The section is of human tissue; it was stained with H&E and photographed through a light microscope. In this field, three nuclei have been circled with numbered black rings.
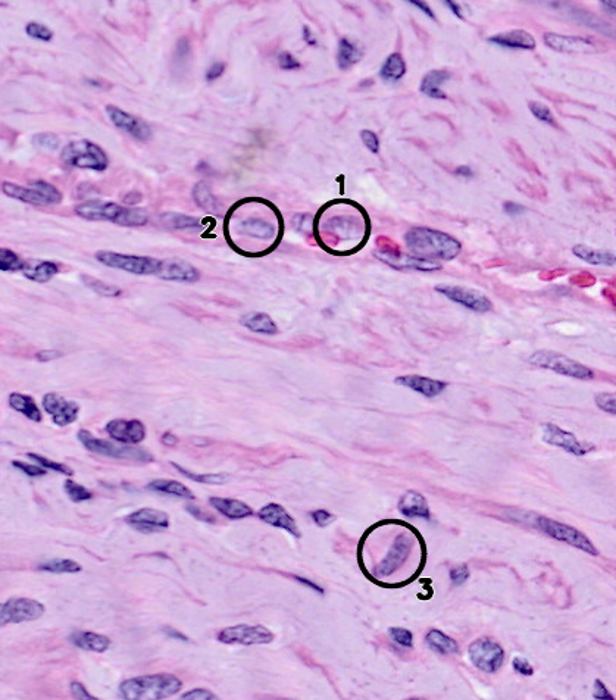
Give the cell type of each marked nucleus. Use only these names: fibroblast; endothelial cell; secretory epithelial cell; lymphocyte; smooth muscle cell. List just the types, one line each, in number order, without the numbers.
endothelial cell
endothelial cell
smooth muscle cell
